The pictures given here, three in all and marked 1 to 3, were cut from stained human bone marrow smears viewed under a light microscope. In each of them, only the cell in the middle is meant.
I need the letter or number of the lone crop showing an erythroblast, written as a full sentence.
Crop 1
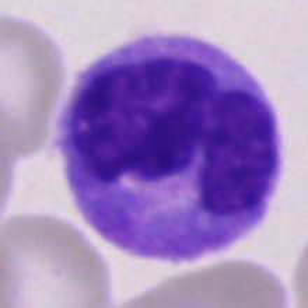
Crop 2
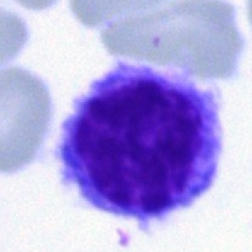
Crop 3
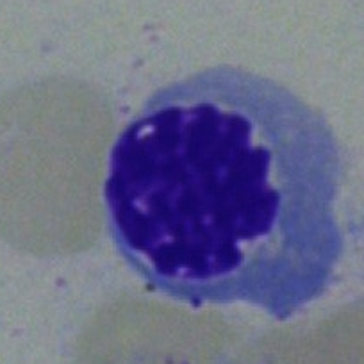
The cell at the center of crop 3 is the one that is an erythroblast.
